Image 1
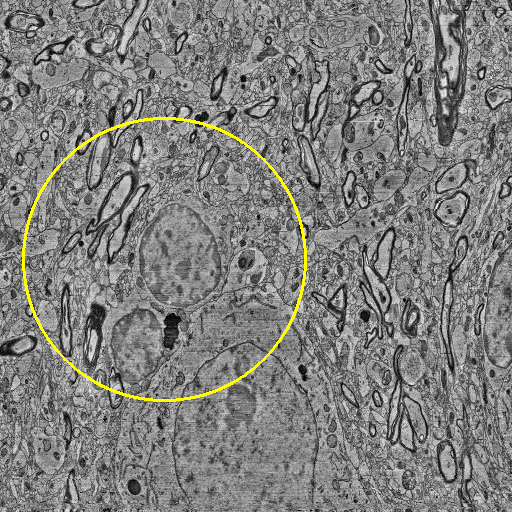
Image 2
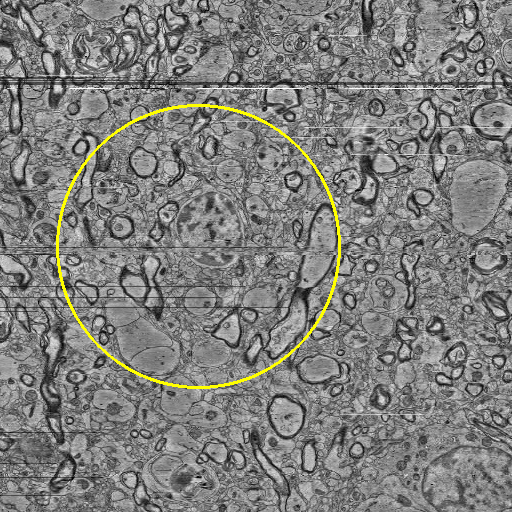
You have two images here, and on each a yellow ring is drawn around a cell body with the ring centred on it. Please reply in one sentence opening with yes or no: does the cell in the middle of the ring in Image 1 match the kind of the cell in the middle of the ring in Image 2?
No, the two images show cells of two kinds at the centres of their rings.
